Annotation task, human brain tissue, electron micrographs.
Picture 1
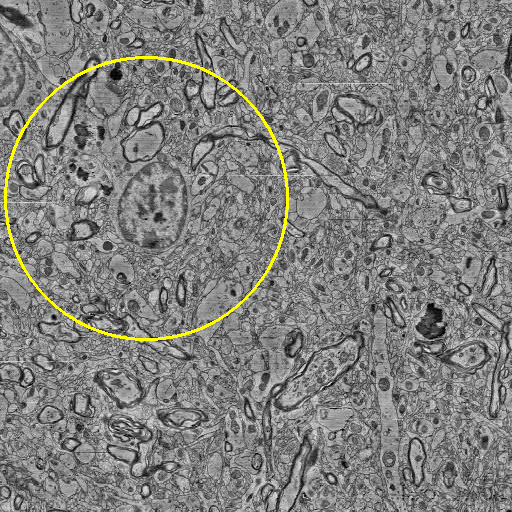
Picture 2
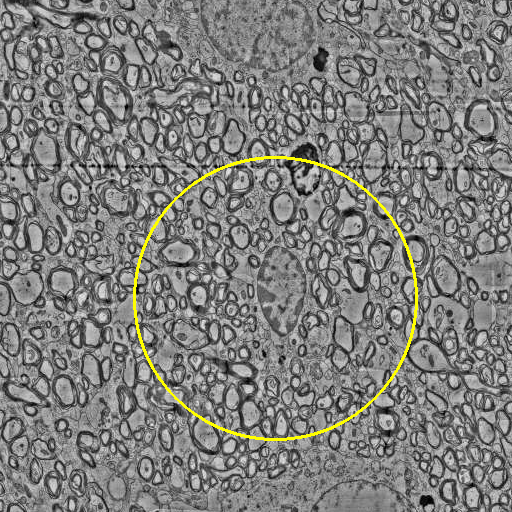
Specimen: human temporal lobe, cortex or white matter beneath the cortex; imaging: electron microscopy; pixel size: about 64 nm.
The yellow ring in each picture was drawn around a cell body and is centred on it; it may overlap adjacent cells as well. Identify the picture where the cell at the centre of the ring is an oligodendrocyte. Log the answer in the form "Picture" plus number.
Picture 1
